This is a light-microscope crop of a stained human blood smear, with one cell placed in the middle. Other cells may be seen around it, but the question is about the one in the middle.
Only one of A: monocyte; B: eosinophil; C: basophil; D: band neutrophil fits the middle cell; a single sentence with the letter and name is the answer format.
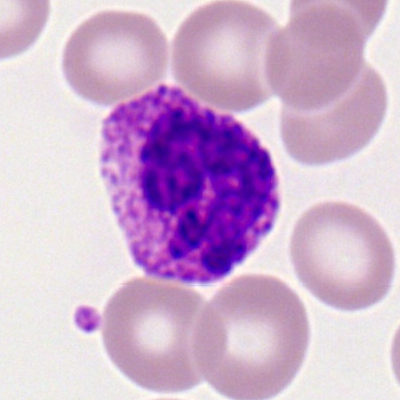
As the central cell is a basophil, option C is correct.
